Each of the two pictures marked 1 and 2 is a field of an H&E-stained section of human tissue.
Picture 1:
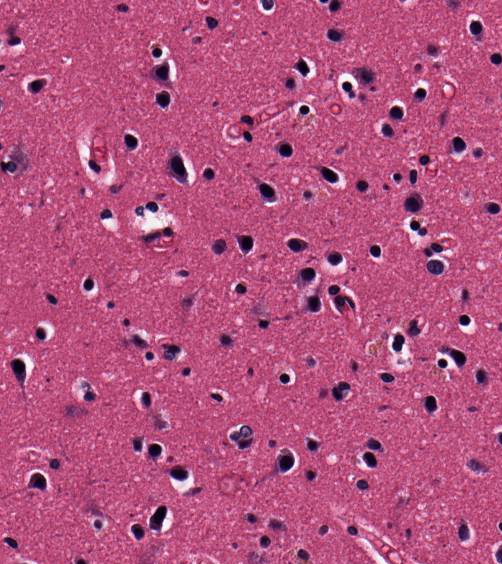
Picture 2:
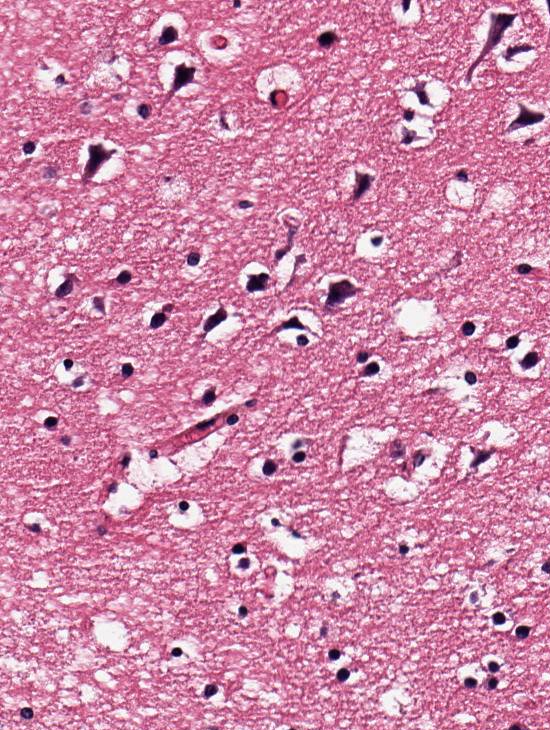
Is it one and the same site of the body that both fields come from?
yes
